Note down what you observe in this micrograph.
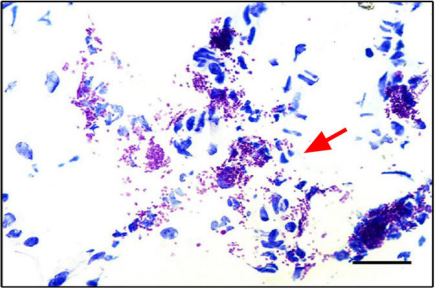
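Around the arrow, small purple-magenta granules are strewn freely through the pale matrix rather than packed inside a cell, so the cell outlines are hard to make out. Elsewhere, denser clusters of dark purple granules still mark mast cells that retain much of their content, including one at the lower right edge. Between them lie scattered blue, elongated or oval nuclei of the surrounding connective tissue cells.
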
